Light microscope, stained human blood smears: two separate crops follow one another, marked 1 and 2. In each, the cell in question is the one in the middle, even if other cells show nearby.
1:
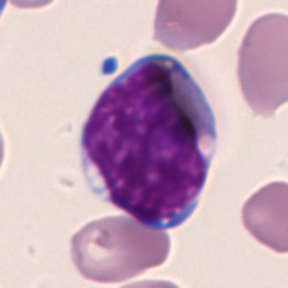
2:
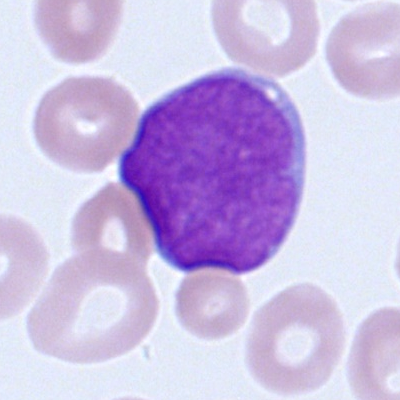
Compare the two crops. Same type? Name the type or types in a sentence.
Yes, both crops have blasts at the centre.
